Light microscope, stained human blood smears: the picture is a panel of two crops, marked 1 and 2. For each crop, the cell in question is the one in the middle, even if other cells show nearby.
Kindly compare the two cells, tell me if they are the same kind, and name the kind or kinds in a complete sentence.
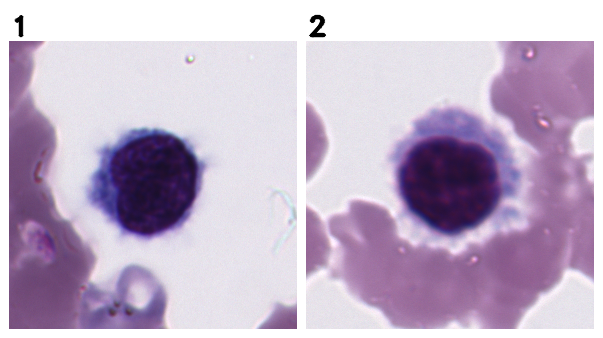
Yes, the centre cells of both crops are hairy cells.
